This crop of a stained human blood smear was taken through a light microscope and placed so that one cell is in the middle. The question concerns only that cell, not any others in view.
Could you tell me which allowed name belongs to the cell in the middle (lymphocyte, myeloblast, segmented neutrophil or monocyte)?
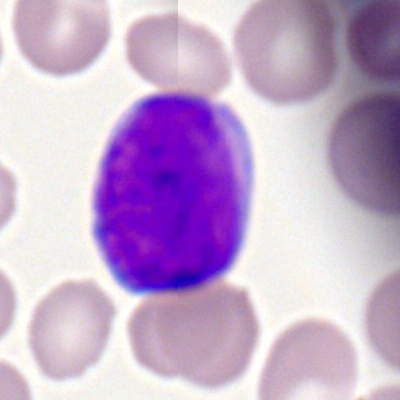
myeloblast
